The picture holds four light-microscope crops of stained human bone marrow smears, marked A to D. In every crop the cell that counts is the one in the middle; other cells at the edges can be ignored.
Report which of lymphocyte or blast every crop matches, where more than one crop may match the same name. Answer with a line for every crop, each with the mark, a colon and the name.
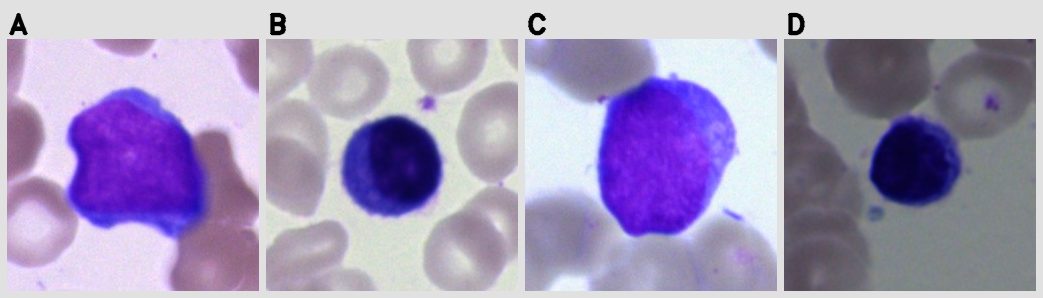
A: blast
B: lymphocyte
C: blast
D: lymphocyte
